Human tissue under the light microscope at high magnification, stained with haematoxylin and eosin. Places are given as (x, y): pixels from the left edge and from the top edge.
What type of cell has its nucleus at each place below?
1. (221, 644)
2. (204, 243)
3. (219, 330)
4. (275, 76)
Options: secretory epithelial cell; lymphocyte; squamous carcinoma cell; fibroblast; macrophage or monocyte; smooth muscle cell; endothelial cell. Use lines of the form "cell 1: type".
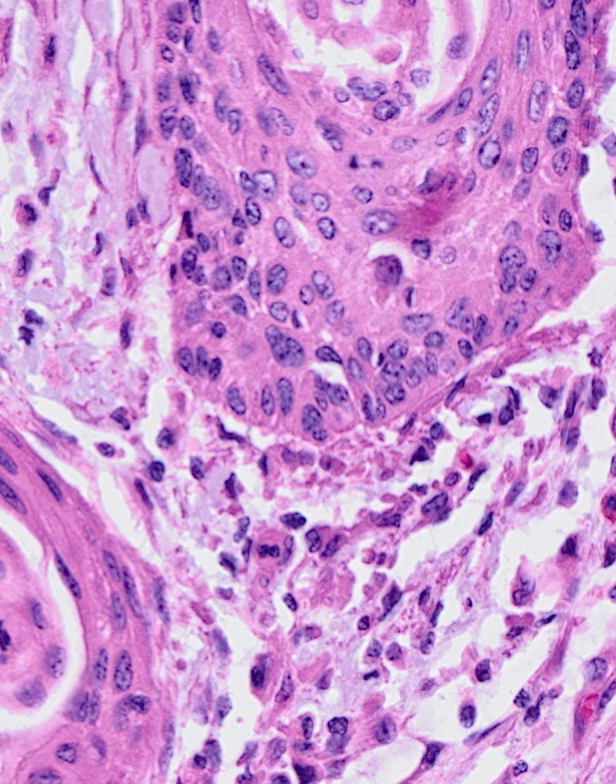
cell 1: fibroblast
cell 2: squamous carcinoma cell
cell 3: squamous carcinoma cell
cell 4: squamous carcinoma cell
